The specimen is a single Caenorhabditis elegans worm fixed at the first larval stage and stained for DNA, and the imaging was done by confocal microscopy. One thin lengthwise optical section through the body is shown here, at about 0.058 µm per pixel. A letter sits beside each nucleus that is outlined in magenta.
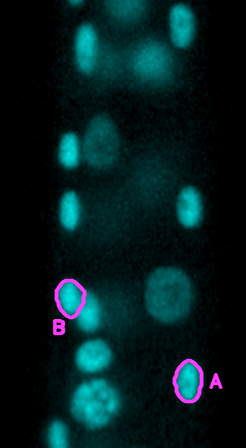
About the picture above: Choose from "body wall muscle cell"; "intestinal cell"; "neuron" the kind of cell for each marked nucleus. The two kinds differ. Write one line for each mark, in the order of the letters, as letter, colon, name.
A: body wall muscle cell
B: neuron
